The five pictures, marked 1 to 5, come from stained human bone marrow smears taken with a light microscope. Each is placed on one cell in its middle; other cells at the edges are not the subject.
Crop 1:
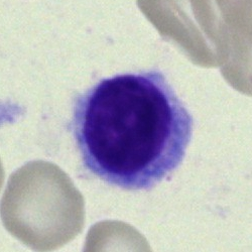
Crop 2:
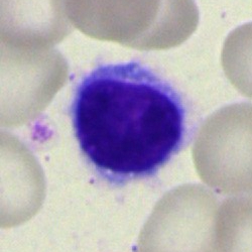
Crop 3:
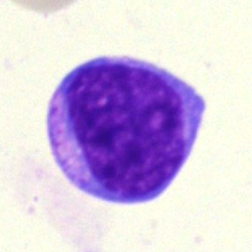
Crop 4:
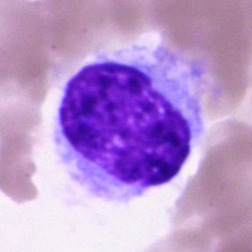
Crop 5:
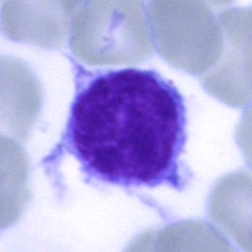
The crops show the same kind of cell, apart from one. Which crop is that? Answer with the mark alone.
3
